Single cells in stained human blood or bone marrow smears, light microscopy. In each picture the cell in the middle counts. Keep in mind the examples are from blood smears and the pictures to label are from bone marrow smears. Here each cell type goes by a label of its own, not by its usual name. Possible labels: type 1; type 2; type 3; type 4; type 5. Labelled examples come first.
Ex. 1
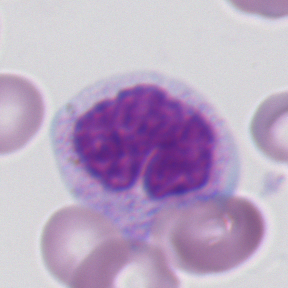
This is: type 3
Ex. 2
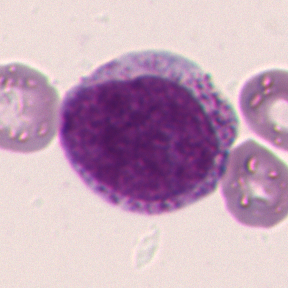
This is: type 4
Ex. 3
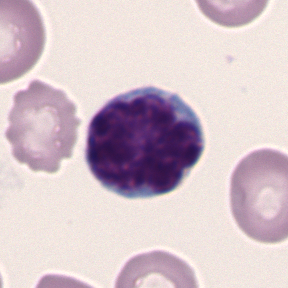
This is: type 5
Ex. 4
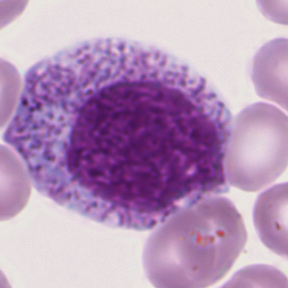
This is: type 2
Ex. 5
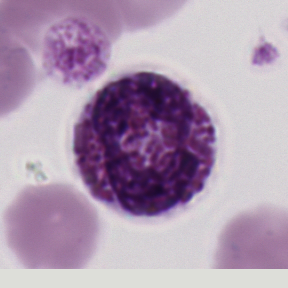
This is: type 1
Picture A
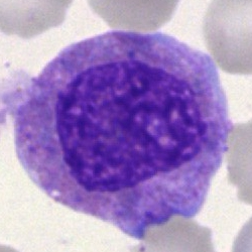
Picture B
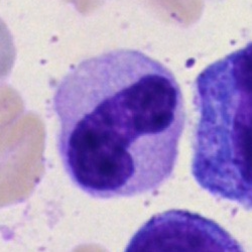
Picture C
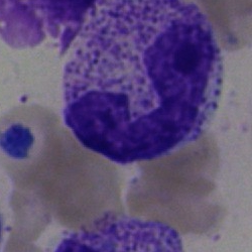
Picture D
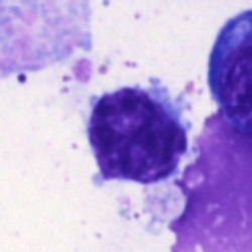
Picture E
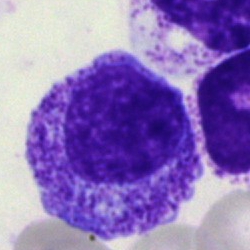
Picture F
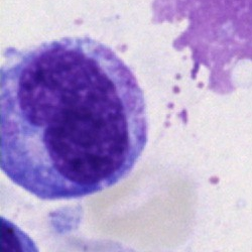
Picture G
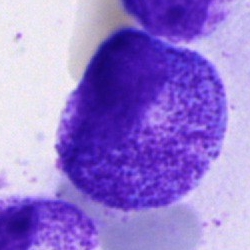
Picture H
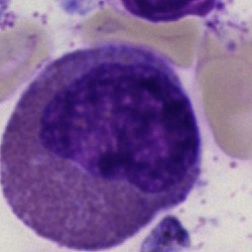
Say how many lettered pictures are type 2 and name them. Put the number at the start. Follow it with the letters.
Count: 2 (F, G)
